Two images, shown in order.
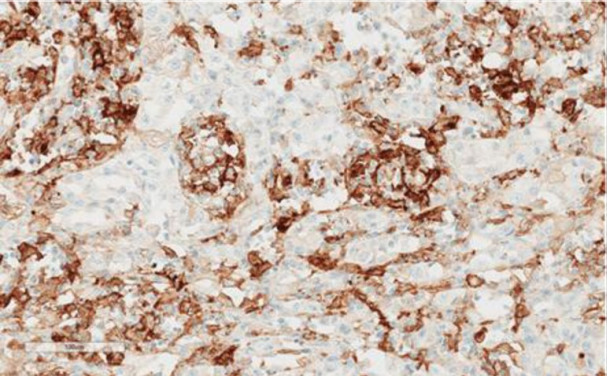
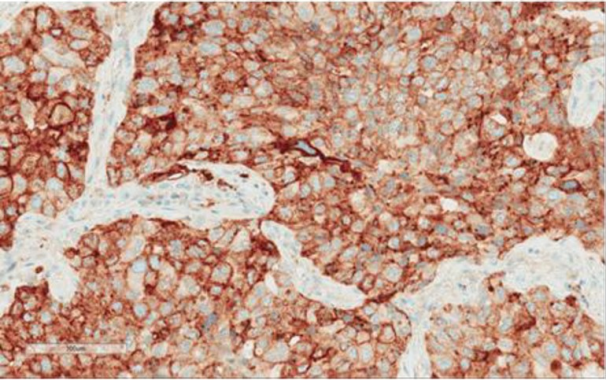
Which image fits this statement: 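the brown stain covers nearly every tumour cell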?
The second image.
